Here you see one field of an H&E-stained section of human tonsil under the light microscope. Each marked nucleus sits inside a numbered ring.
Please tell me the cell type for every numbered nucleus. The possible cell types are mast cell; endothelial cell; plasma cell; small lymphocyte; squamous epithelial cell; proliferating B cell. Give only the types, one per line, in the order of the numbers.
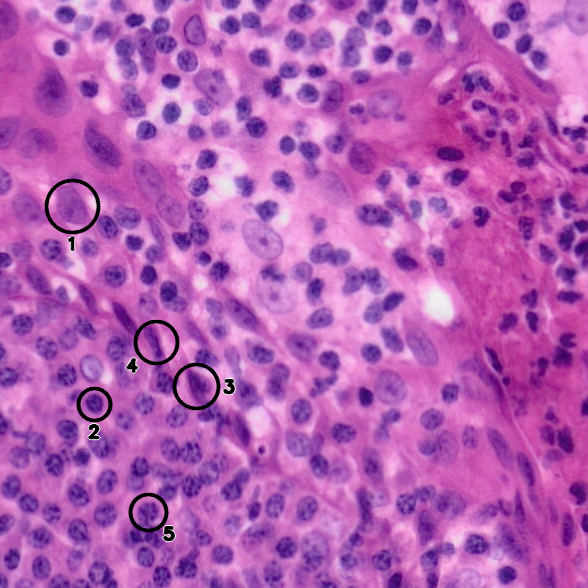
squamous epithelial cell
plasma cell
squamous epithelial cell
squamous epithelial cell
plasma cell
